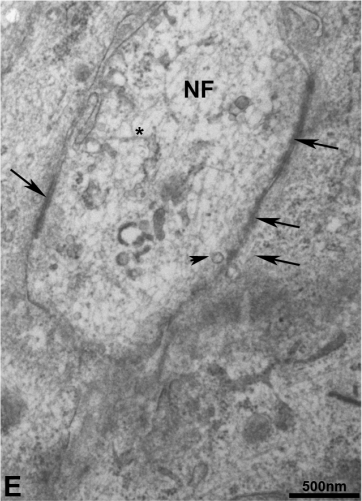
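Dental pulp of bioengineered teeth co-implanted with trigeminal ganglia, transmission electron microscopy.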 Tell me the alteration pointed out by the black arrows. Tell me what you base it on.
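The arrows point to short dark, dense stretches along the edge of a pale axon profile. The answer: Thickening of the membrane.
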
